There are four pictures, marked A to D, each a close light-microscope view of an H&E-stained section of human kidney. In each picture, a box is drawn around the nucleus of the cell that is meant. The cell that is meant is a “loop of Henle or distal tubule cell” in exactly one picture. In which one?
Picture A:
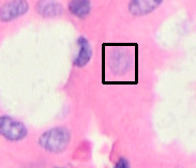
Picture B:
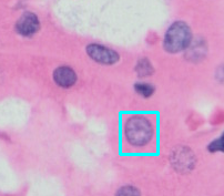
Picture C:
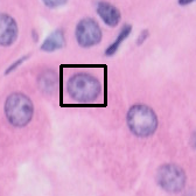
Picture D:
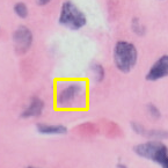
D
